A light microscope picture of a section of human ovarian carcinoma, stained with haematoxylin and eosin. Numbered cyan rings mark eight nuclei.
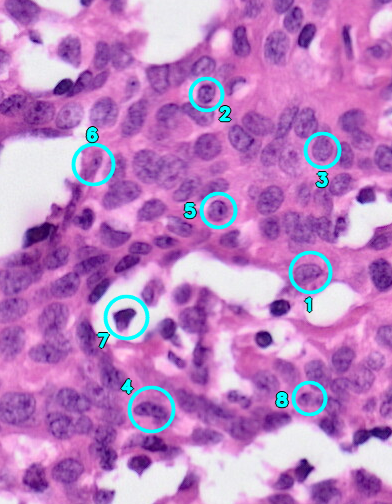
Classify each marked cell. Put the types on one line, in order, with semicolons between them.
carcinoma cell; macrophage or monocyte; carcinoma cell; macrophage or monocyte; macrophage or monocyte; macrophage or monocyte; carcinoma cell; macrophage or monocyte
